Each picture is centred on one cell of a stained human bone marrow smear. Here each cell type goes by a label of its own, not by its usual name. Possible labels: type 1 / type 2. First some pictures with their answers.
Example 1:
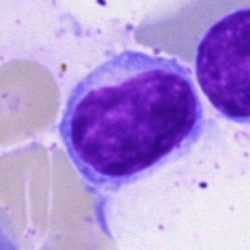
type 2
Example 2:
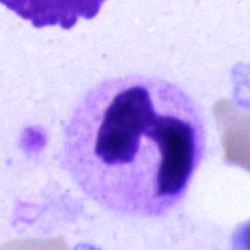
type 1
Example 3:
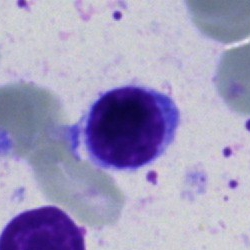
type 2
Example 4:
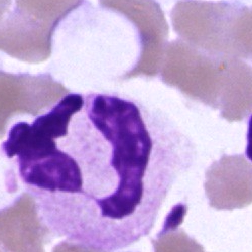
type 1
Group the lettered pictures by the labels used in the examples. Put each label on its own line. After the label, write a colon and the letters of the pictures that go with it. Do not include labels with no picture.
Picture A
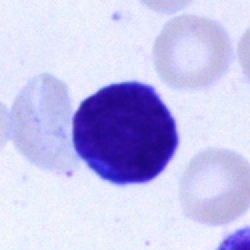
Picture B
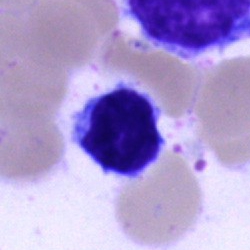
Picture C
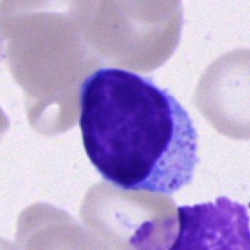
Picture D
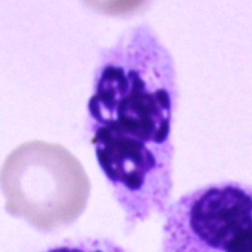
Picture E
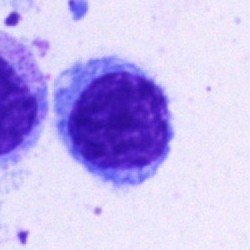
type 1: D
type 2: A, B, C, E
